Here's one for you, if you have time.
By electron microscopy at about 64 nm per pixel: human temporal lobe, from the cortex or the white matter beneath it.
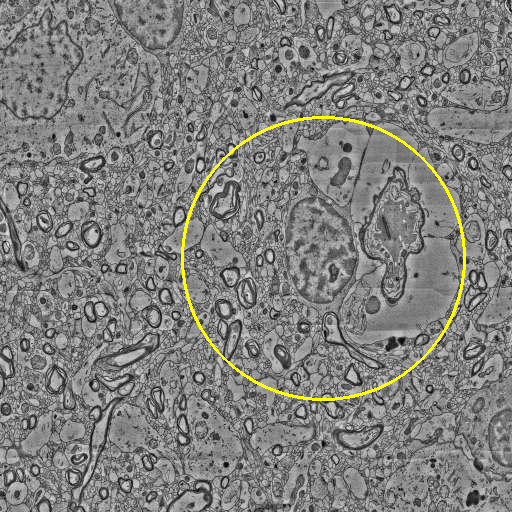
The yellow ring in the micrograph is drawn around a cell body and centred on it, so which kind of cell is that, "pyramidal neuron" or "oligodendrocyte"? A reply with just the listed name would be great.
oligodendrocyte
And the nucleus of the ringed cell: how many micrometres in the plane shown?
The nucleus of the ringed cell is approximately 7 by 5 micrometres in this plane.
